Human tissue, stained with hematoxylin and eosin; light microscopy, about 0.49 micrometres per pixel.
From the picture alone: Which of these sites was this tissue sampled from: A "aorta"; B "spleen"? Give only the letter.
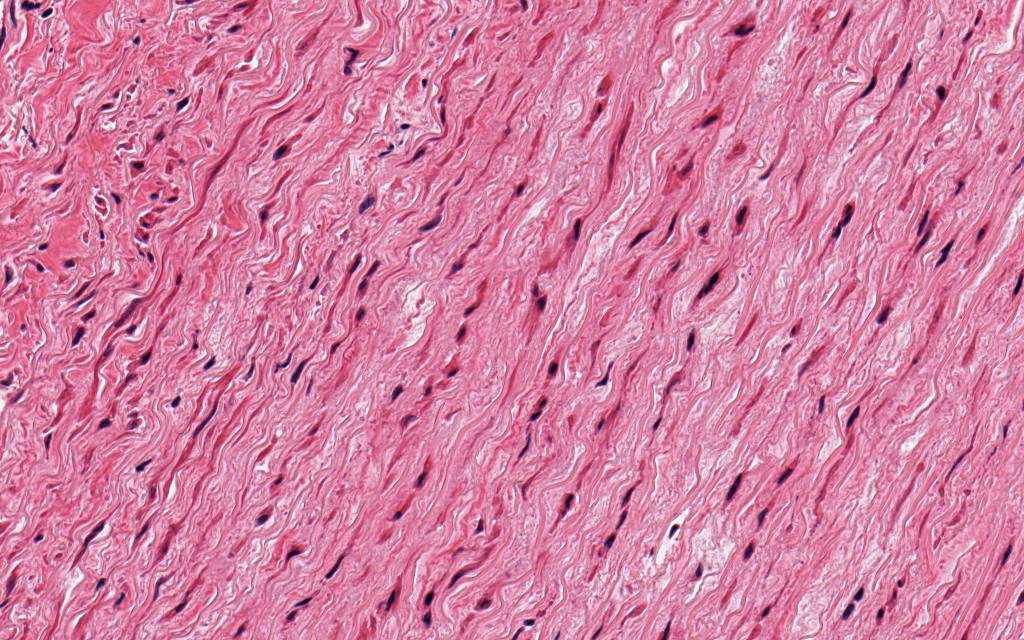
A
